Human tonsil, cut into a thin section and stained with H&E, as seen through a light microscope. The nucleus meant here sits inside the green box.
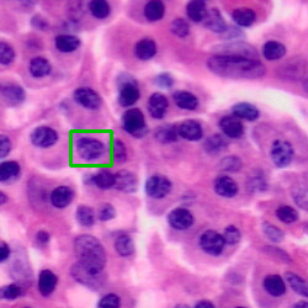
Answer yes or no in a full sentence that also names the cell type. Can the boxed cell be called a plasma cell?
Yes, the boxed cell is accurately described as a plasma cell.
